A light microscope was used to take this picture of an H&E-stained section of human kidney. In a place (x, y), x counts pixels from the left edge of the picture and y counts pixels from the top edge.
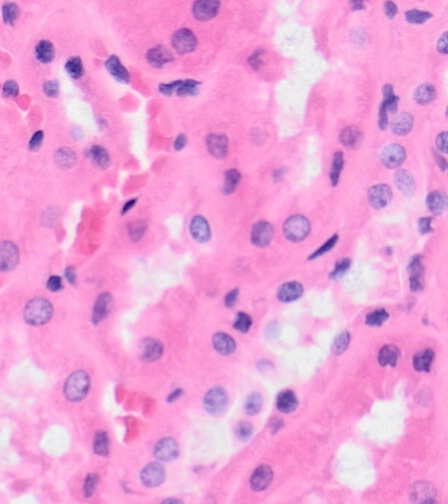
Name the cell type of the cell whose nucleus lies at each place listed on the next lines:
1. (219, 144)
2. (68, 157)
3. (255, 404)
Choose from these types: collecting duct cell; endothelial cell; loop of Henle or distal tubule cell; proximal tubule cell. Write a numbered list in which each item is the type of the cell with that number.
1. proximal tubule cell
2. loop of Henle or distal tubule cell
3. loop of Henle or distal tubule cell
